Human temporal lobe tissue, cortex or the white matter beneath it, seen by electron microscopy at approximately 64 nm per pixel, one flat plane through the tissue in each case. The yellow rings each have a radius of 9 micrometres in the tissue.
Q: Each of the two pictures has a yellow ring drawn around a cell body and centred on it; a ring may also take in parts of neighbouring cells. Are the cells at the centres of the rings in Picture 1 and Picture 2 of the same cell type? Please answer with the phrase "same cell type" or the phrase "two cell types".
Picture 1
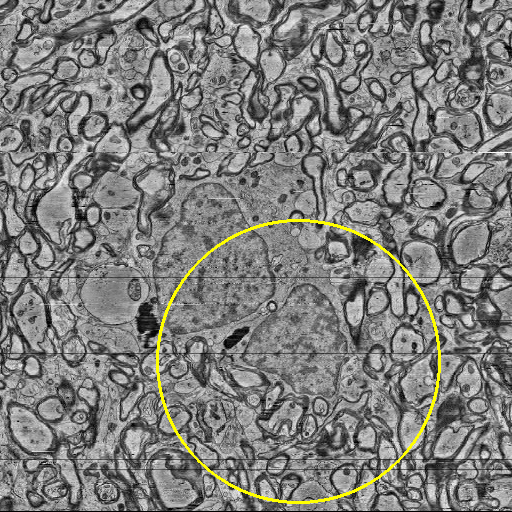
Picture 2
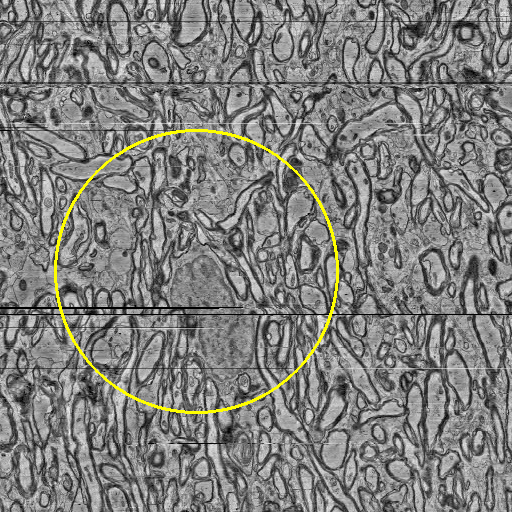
same cell type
